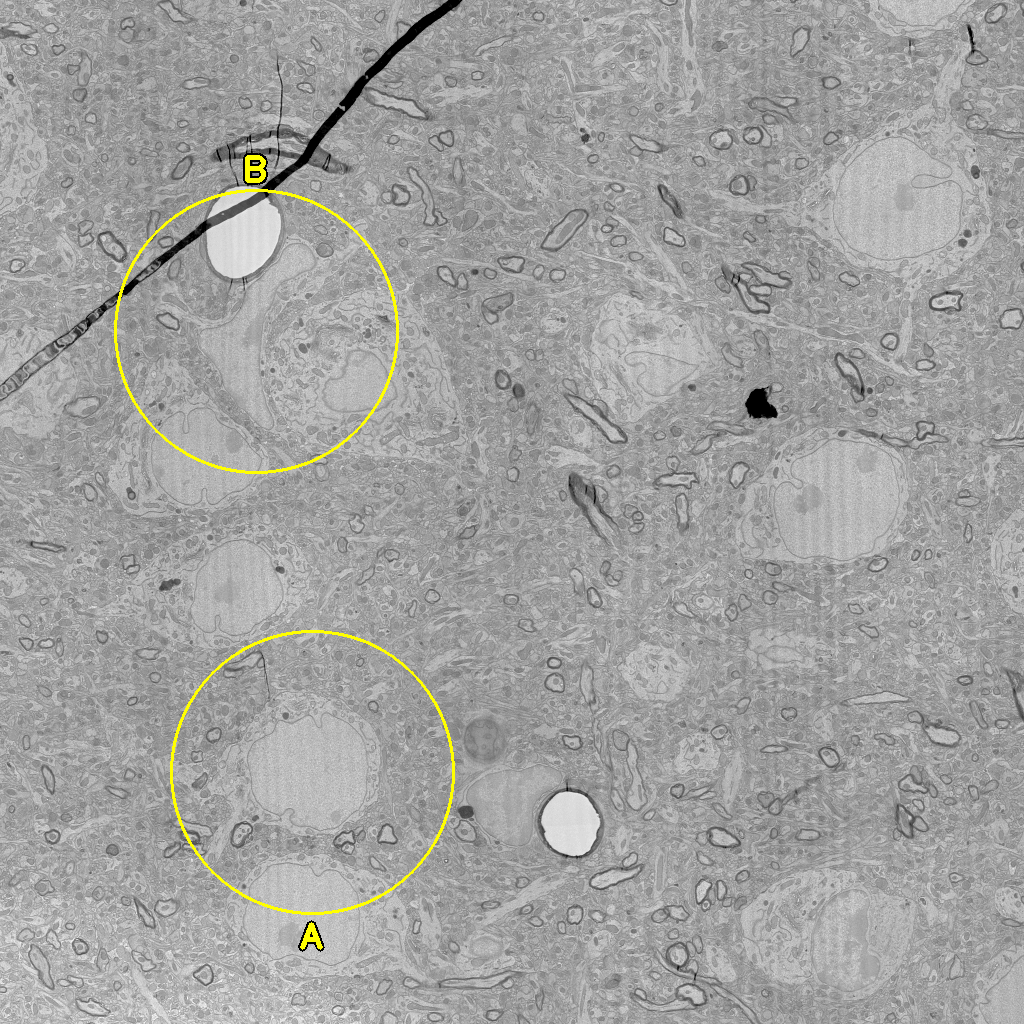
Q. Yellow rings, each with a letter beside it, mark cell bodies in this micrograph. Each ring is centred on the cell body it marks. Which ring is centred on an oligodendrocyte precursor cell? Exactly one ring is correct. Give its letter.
B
